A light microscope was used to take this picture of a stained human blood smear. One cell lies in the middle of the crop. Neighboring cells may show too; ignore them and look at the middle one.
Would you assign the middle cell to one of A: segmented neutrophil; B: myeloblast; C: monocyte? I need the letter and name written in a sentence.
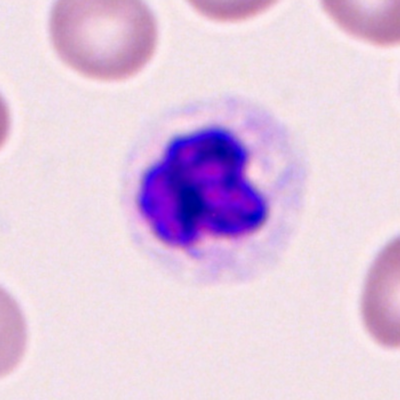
Option A is accurate; the centrally placed cell is a segmented neutrophil.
